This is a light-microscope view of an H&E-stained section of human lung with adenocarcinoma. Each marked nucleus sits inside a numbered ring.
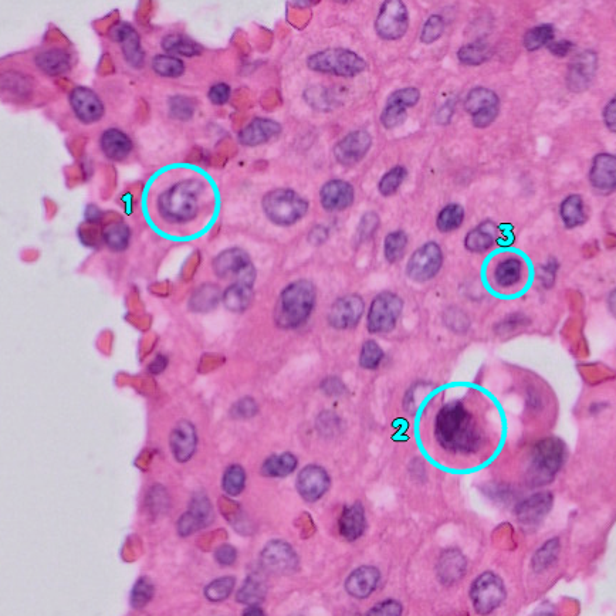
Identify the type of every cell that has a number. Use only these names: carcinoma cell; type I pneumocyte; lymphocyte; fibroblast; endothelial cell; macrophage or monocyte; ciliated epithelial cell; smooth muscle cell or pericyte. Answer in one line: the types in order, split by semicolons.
macrophage or monocyte; carcinoma cell; lymphocyte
